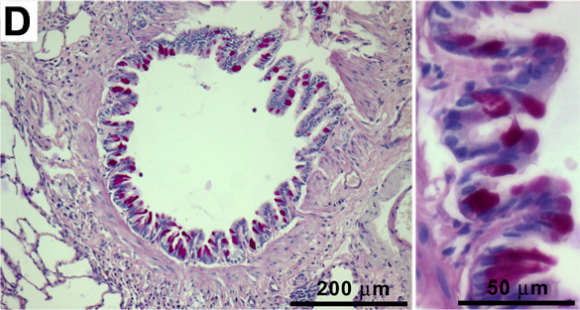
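An airway of the lung lined by a folded columnar epithelium in which goblet cells are scattered among other lining cells. At low power the lining forms ridges projecting into the lumen, and individual cells carry discrete magenta droplets, giving a spotted pattern rather than a continuous band. The wall beneath contains pink connective tissue, and alveoli lie around the airway.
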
